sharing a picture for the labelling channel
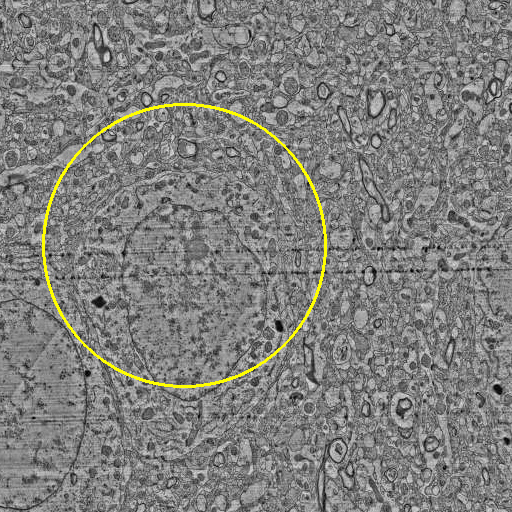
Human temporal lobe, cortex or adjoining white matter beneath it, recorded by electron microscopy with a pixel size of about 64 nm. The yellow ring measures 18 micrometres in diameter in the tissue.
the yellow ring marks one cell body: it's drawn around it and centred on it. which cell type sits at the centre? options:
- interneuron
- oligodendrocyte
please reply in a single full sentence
In the picture, the cell at the ring's centre is an interneuron, going by the list.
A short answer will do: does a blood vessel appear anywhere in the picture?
No, no vessel appears in the picture.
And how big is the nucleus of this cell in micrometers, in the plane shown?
The nucleus works out at approximately 13 by 10 micrometres in this plane.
